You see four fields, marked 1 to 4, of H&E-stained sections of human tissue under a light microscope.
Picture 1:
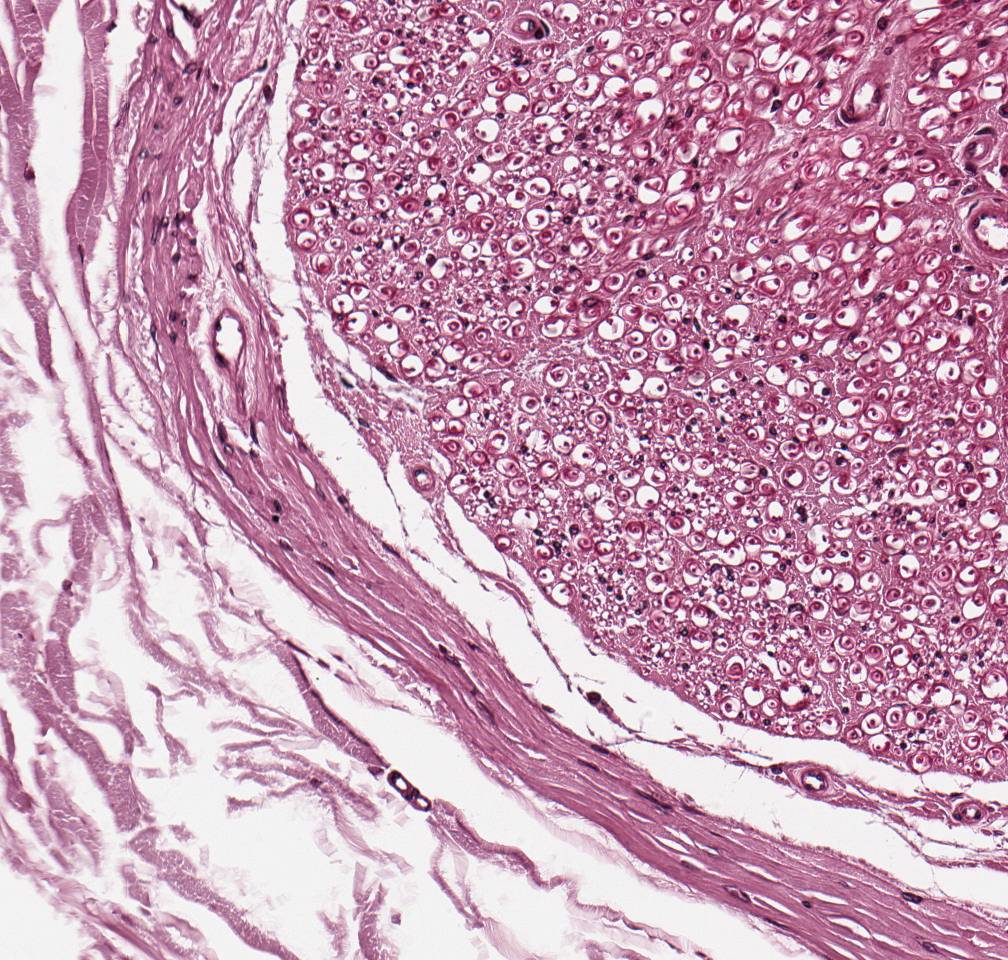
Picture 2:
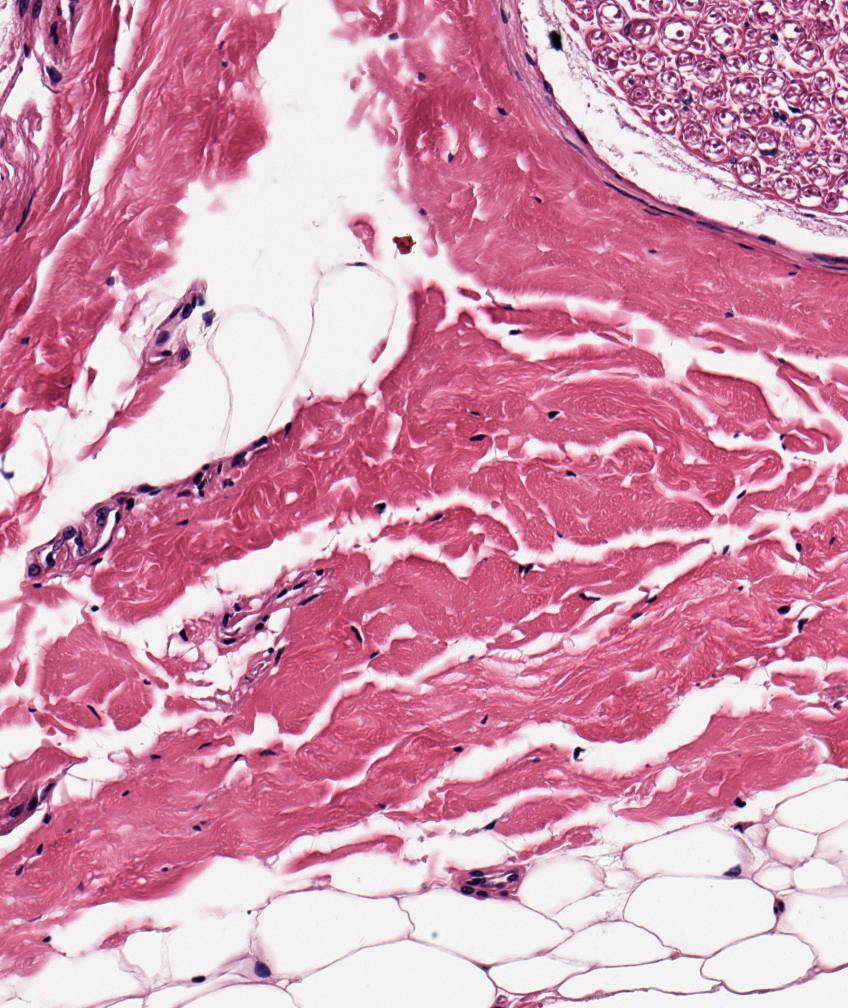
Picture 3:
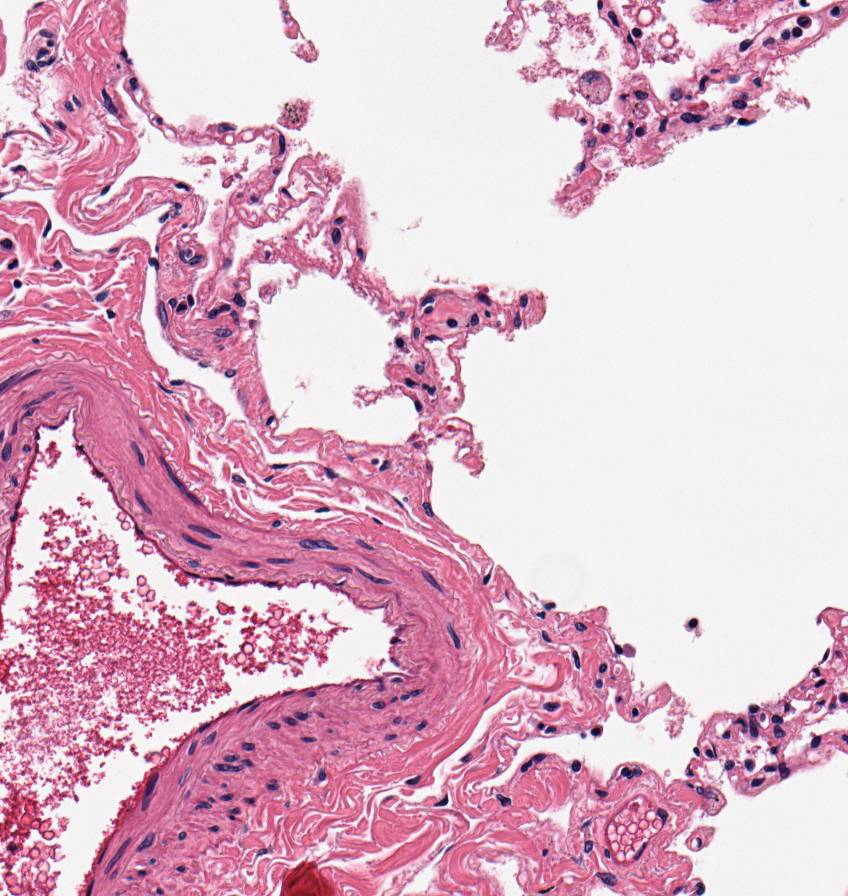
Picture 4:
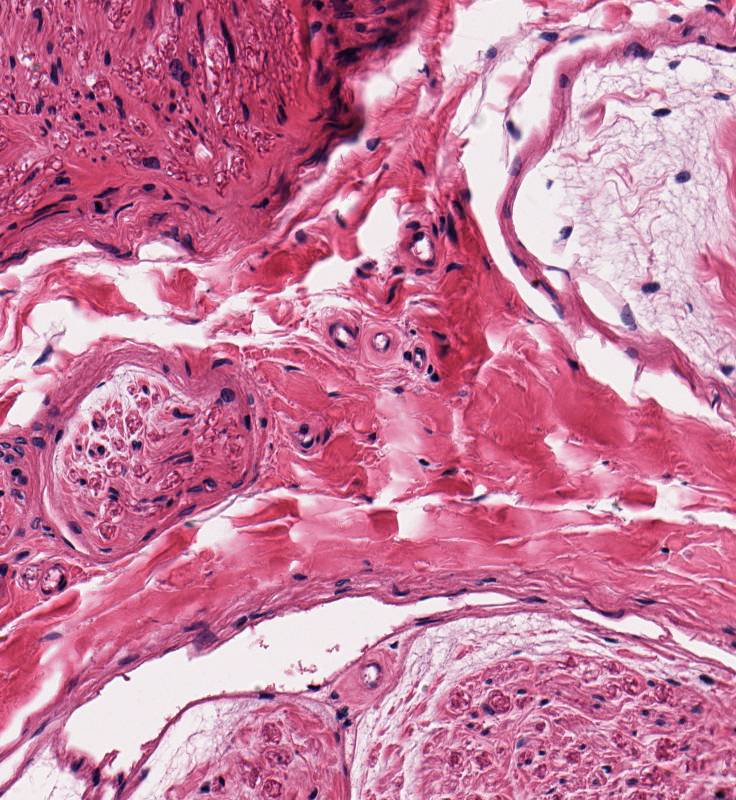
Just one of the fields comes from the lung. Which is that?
3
